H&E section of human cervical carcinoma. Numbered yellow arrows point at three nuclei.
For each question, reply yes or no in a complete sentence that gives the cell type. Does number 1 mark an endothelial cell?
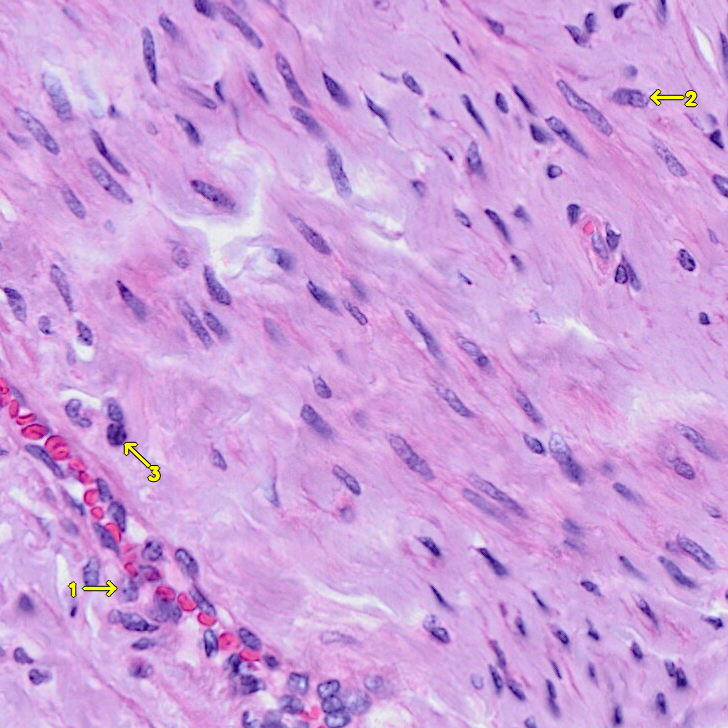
Yes, the one with the number 1 is an endothelial cell.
